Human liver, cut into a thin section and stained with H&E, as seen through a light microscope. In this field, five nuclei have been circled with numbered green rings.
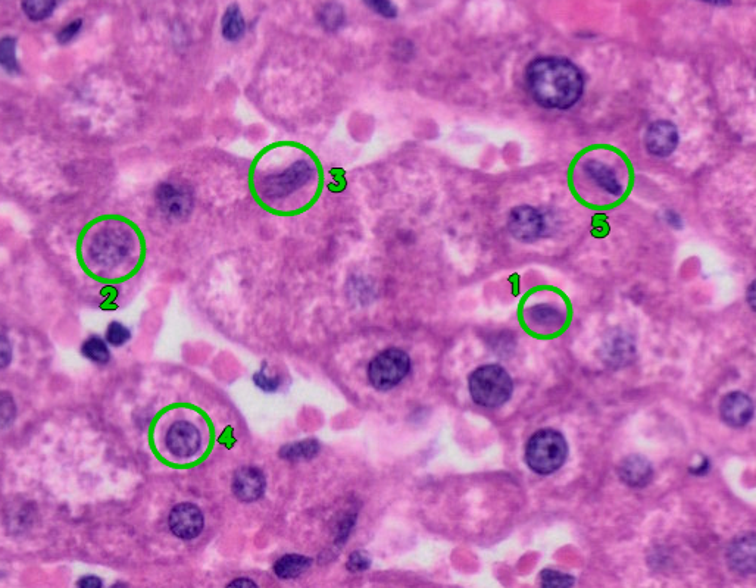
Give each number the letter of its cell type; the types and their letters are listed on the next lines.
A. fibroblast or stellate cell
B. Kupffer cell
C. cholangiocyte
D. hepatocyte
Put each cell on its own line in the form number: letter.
1: B
2: D
3: B
4: D
5: A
